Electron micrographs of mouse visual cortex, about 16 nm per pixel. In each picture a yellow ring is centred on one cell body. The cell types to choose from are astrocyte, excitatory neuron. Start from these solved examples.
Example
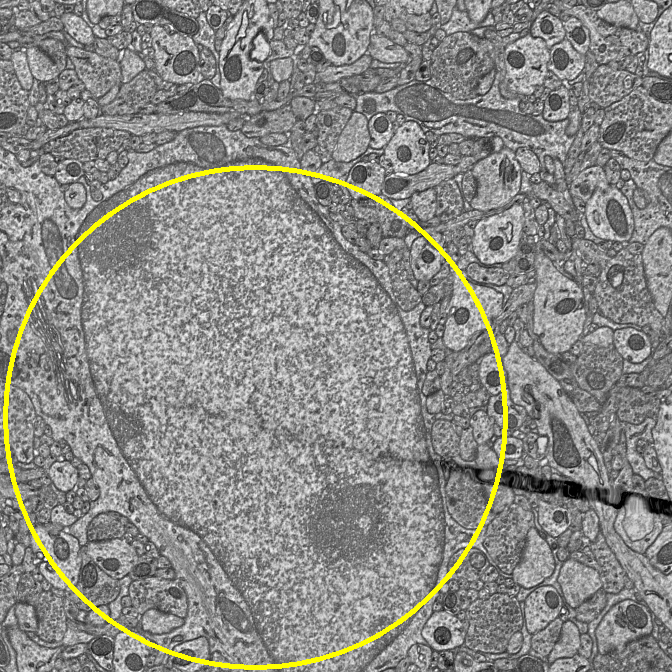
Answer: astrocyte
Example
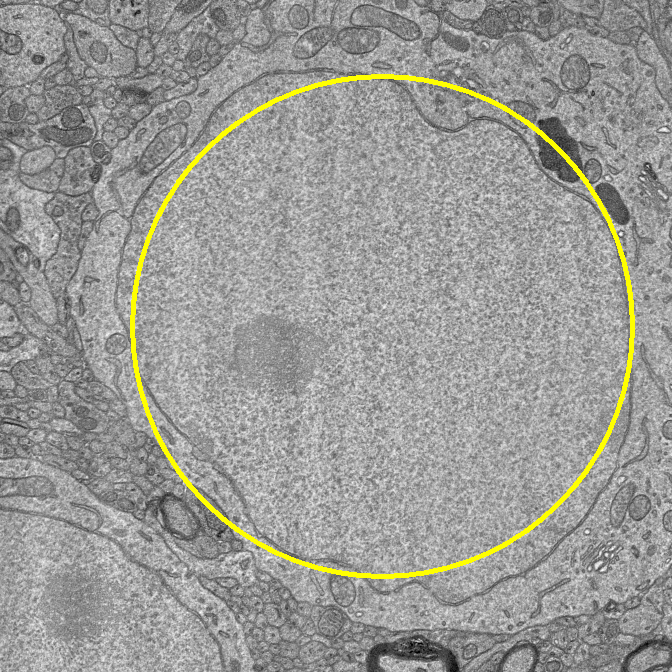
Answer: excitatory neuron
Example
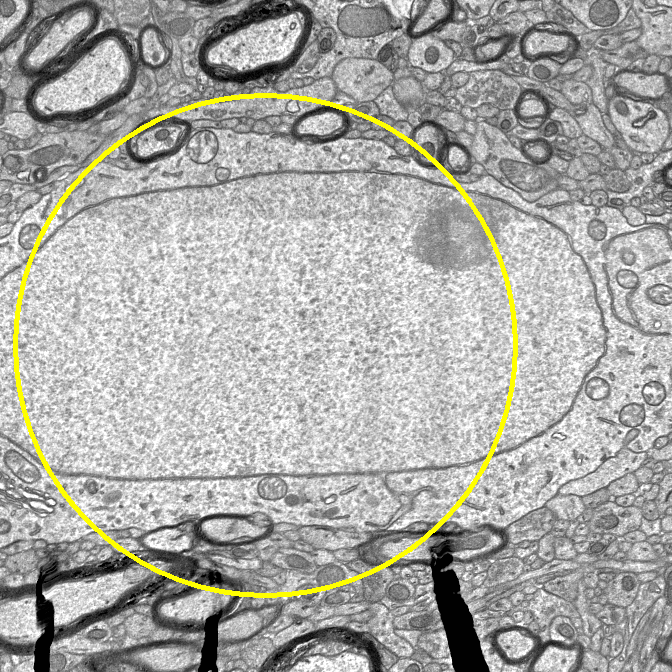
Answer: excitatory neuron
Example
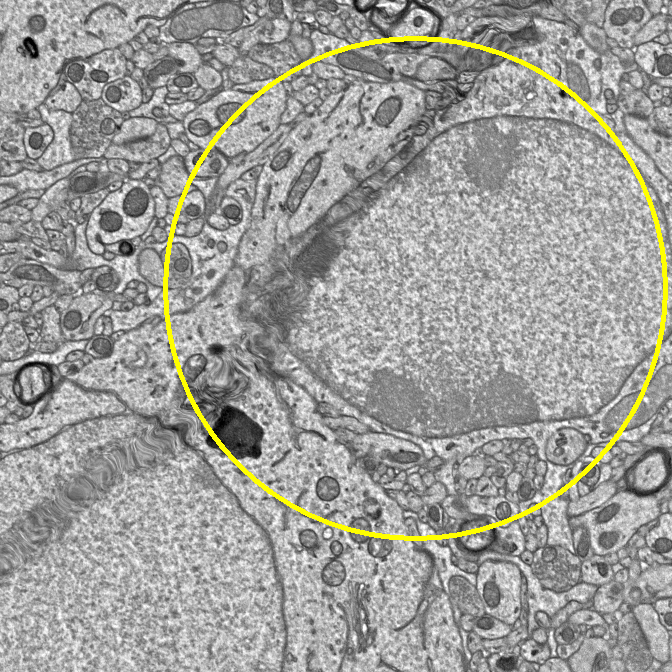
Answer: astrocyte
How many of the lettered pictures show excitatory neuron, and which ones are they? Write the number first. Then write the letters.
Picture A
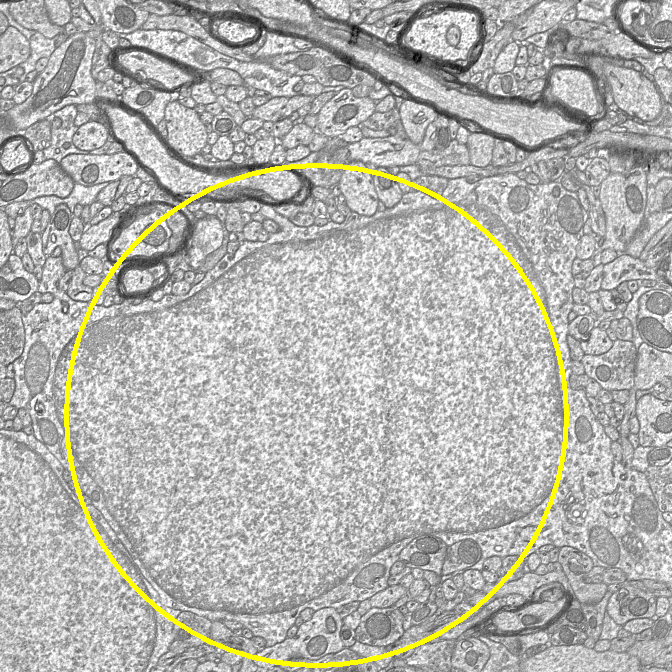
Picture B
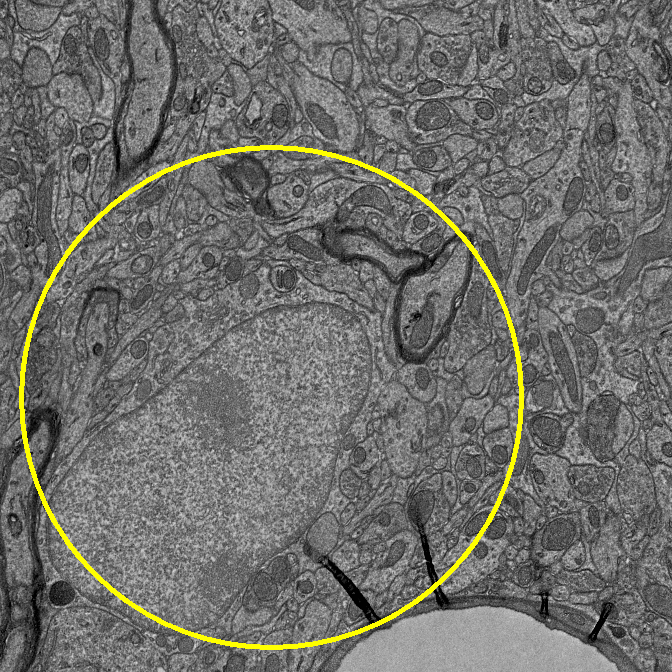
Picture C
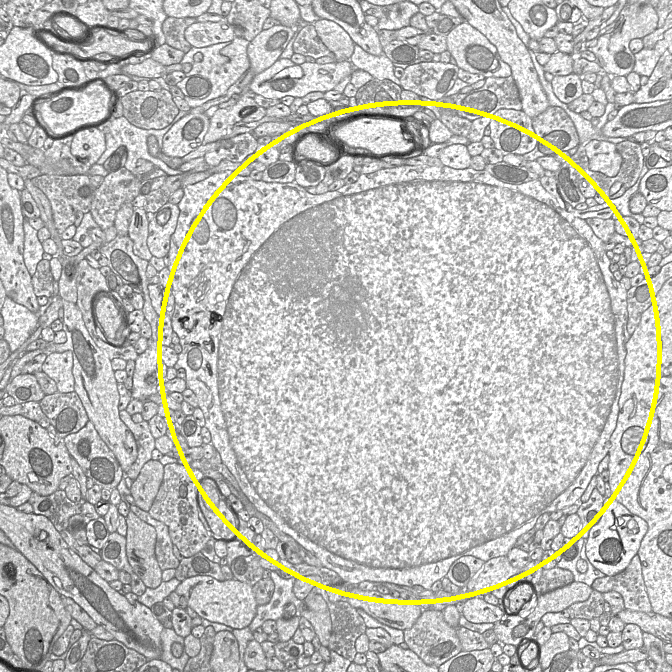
0, none of them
